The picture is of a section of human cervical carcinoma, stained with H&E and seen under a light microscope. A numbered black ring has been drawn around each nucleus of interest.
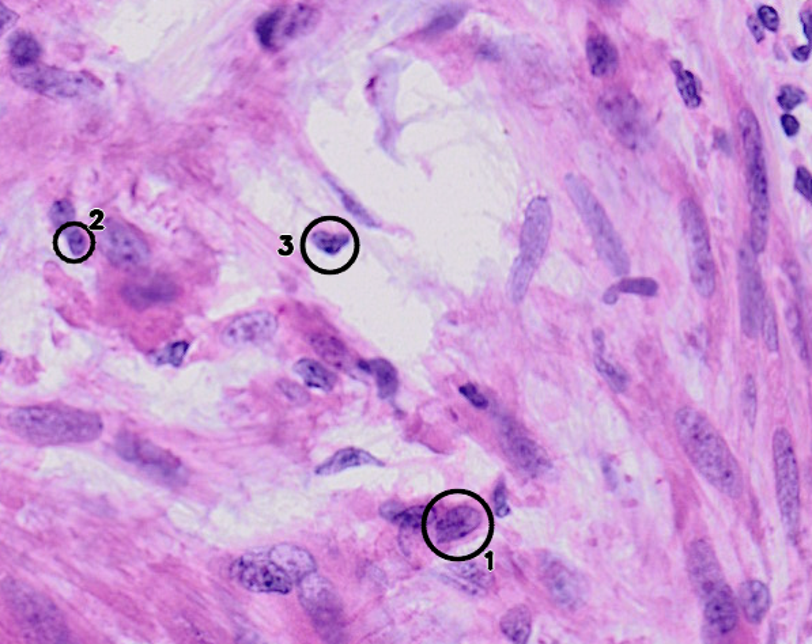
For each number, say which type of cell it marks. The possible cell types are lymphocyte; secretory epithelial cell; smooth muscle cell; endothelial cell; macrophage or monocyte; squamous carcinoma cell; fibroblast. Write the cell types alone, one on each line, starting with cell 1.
macrophage or monocyte
lymphocyte
lymphocyte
